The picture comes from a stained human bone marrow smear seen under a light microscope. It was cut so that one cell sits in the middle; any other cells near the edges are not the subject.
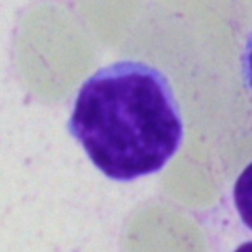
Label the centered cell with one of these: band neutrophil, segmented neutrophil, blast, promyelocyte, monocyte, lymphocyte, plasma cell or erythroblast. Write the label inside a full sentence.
The cell featured at the centre of this crop is a lymphocyte.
